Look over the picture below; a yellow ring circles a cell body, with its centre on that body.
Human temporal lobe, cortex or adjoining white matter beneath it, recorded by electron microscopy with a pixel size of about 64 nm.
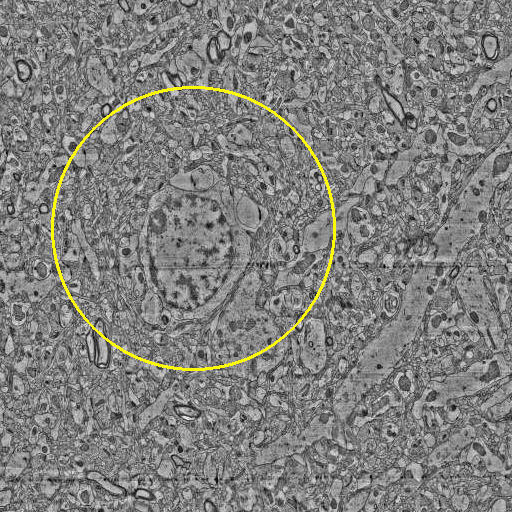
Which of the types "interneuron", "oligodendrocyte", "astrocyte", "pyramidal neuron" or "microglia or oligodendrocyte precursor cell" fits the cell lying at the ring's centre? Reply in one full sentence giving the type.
The picture shows an interneuron at the centre of the yellow ring.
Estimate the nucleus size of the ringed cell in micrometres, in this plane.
In this plane, about 7 micrometres in length and 6 in width.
